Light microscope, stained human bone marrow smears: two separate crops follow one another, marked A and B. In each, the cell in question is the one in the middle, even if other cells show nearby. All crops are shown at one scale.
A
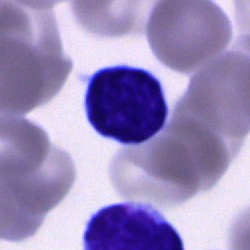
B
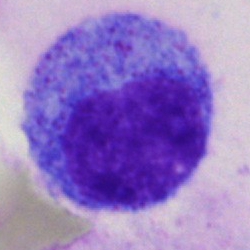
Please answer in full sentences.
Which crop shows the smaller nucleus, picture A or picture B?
The nucleus in picture A is smaller; the one in picture B has about 3 times its area.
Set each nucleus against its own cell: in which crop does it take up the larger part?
The nucleus fills more of the cell in picture A than in picture B.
